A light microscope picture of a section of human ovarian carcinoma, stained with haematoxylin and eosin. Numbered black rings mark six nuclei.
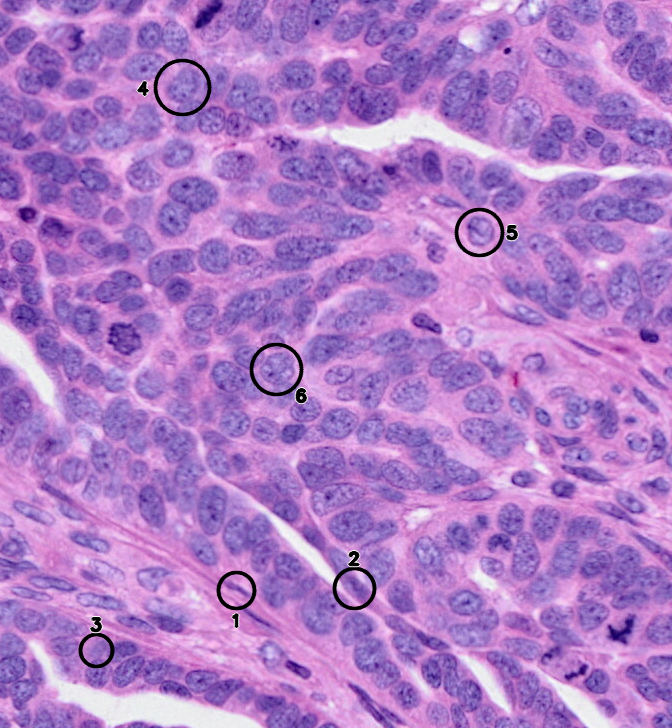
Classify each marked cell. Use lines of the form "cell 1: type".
cell 1: fibroblast
cell 2: carcinoma cell
cell 3: carcinoma cell
cell 4: carcinoma cell
cell 5: fibroblast
cell 6: carcinoma cell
